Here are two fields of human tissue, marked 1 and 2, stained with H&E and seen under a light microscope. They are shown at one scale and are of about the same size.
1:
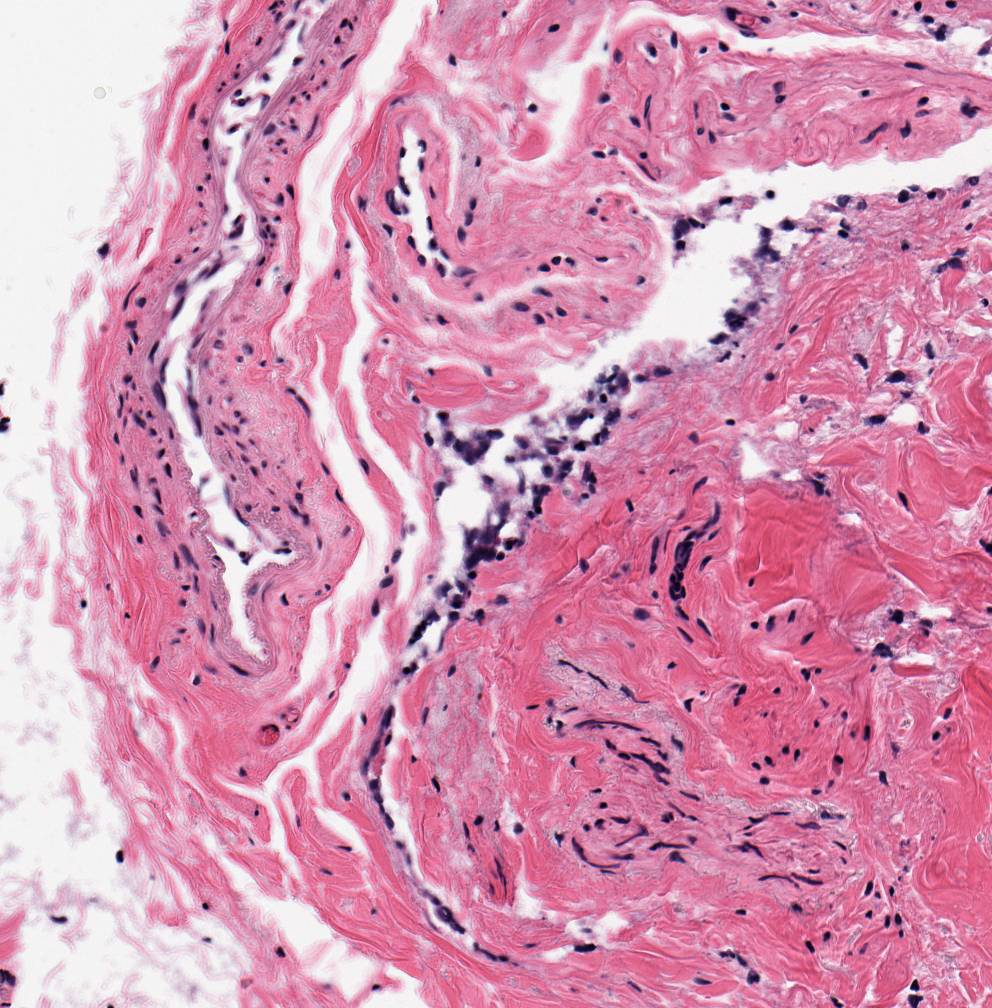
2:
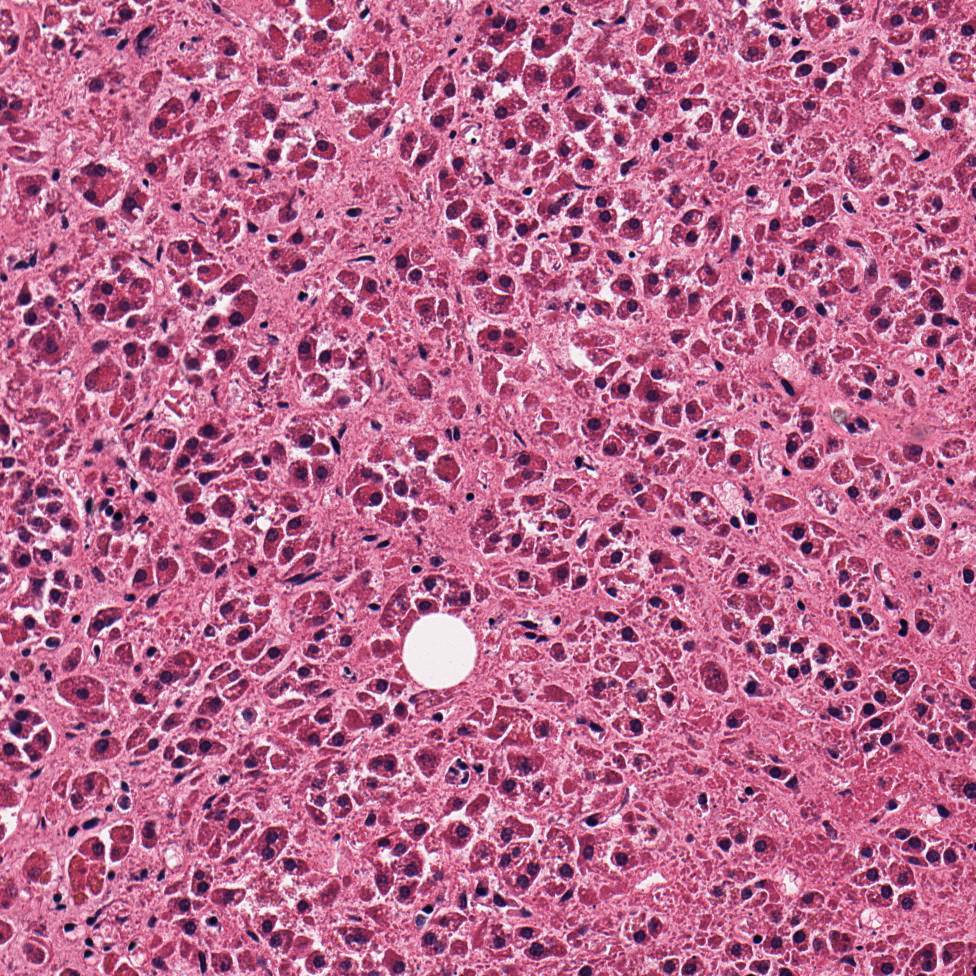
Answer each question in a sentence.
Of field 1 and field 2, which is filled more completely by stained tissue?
Unstained space takes up less of field 2 than of field 1.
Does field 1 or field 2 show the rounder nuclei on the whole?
It is field 2 whose nuclei are the rounder.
